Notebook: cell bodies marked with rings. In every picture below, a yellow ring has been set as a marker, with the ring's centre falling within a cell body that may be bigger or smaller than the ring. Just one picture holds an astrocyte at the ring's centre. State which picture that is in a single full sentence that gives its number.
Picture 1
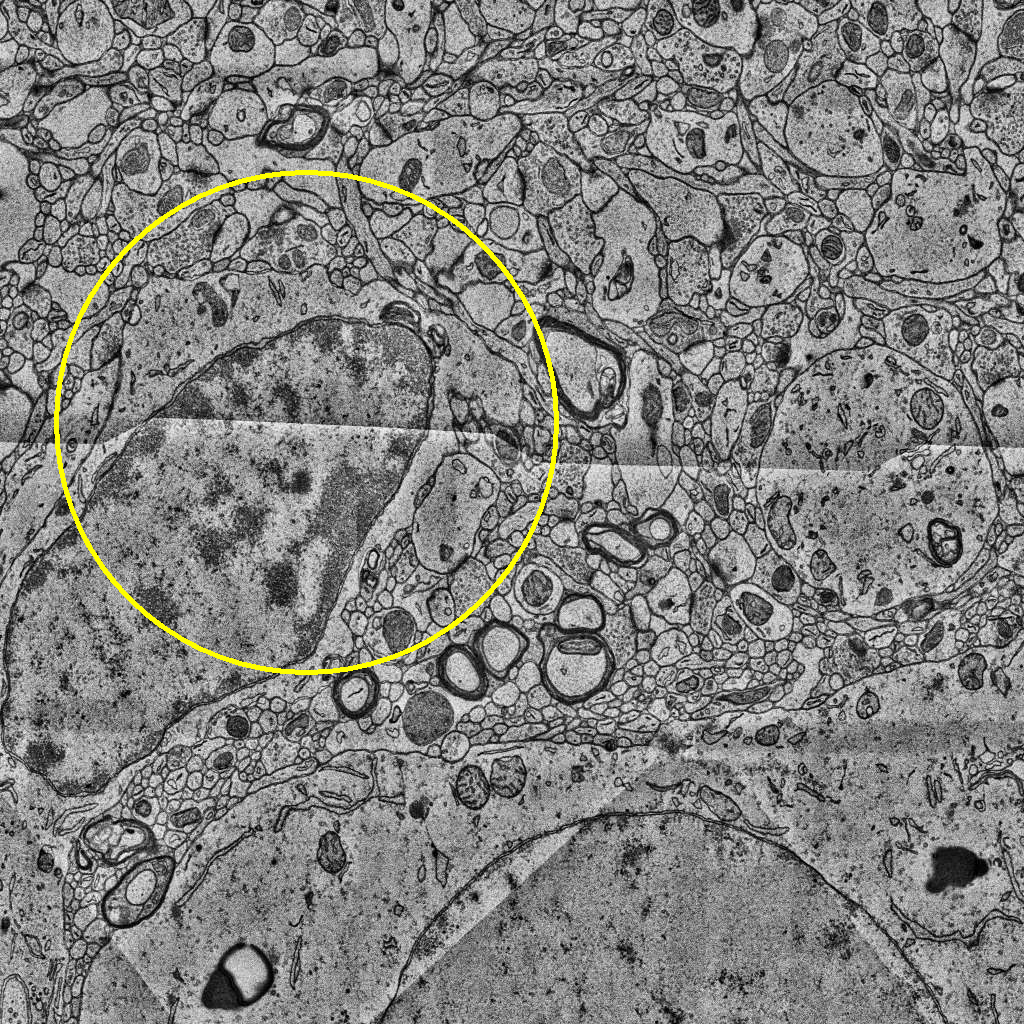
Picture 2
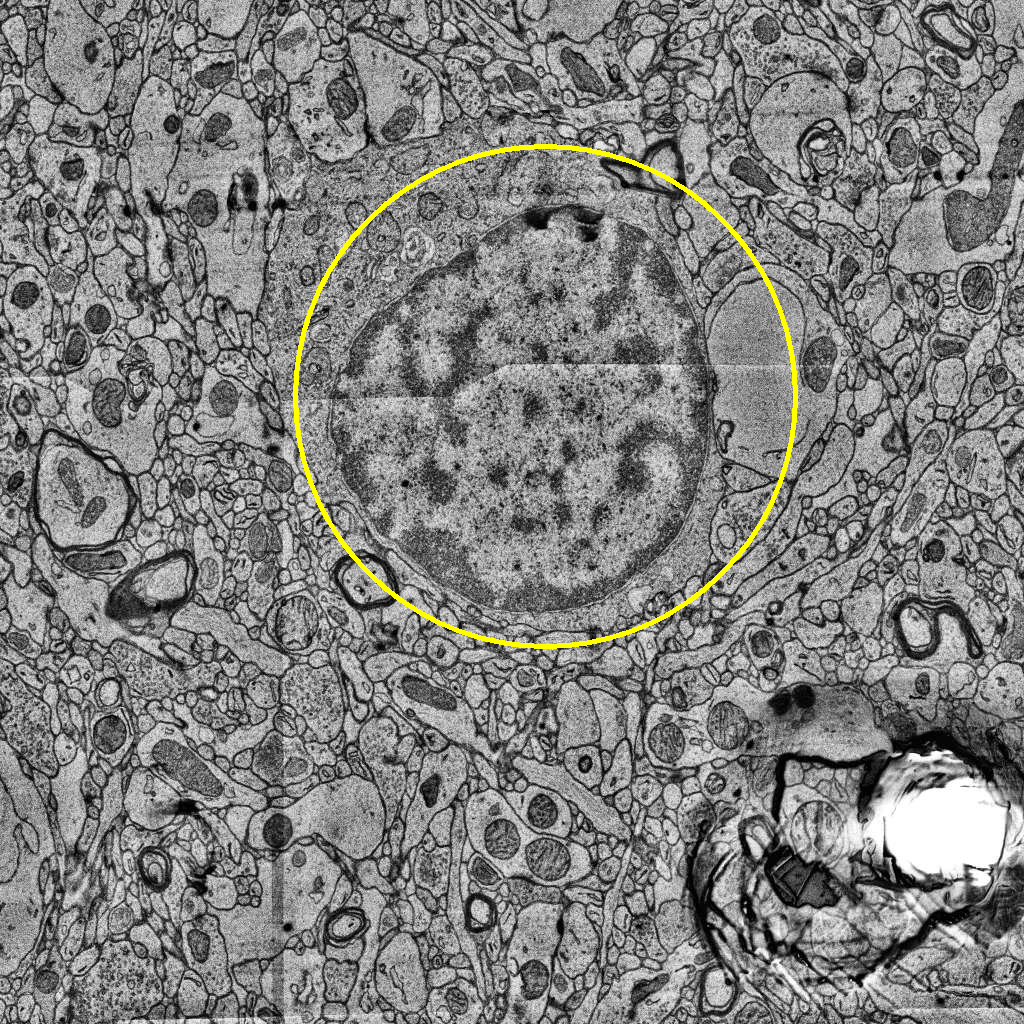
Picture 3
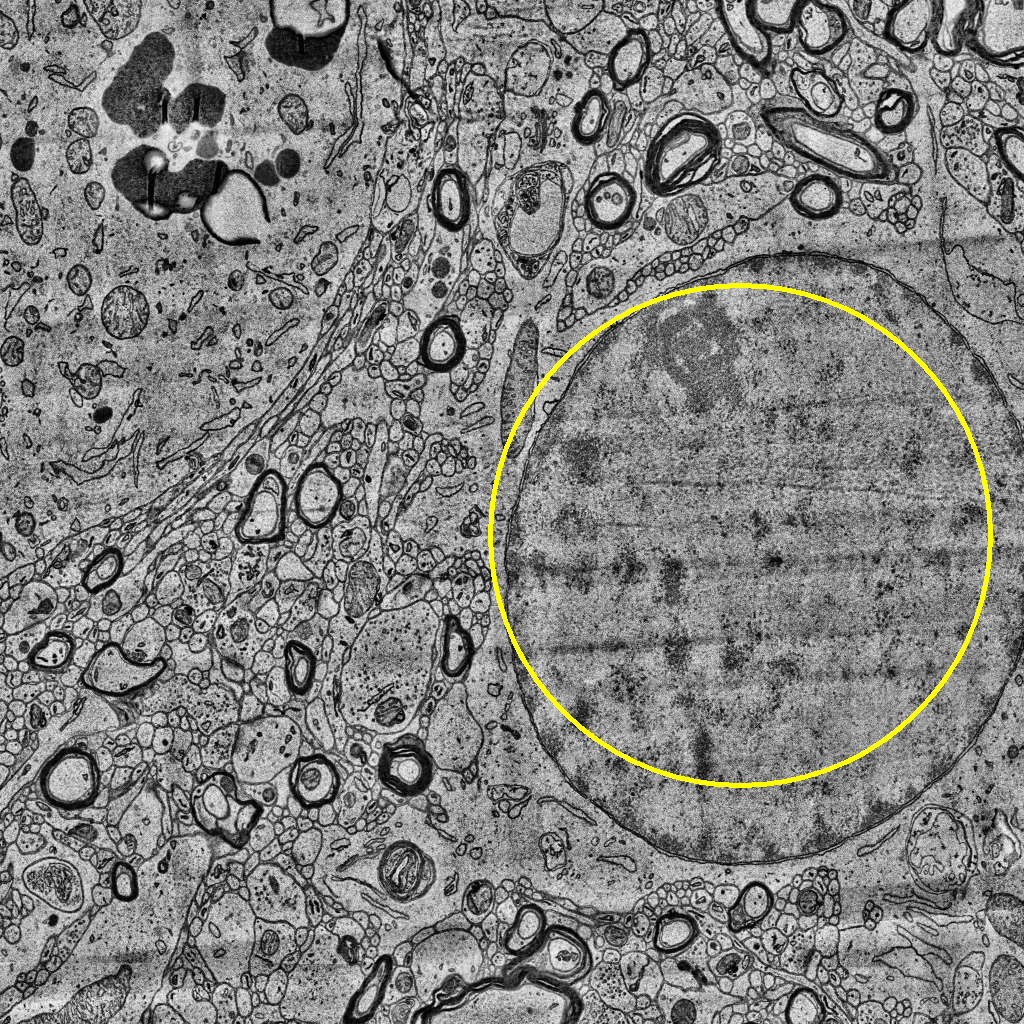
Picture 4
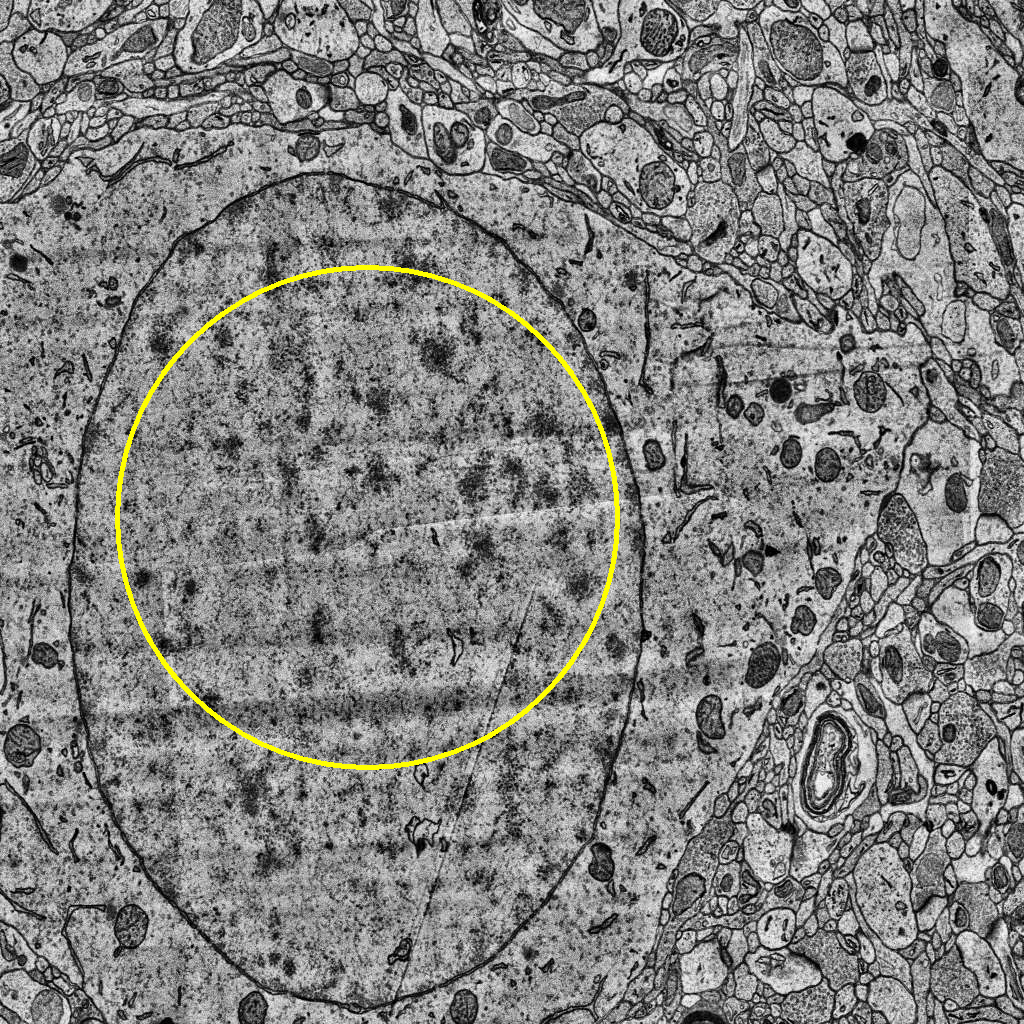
It is picture 3 whose ring has the wanted cell right at its centre.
